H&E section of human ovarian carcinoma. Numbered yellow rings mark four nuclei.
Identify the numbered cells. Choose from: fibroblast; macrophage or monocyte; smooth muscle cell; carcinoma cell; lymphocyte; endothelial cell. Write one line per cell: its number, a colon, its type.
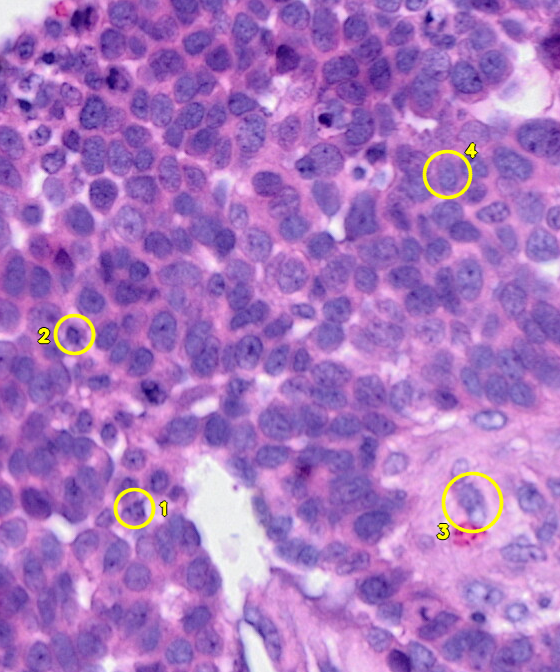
1: macrophage or monocyte
2: macrophage or monocyte
3: endothelial cell
4: carcinoma cell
